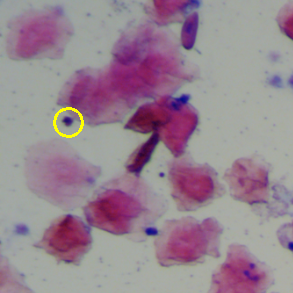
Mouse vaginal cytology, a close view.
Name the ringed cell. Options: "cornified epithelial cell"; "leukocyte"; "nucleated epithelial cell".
leukocyte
